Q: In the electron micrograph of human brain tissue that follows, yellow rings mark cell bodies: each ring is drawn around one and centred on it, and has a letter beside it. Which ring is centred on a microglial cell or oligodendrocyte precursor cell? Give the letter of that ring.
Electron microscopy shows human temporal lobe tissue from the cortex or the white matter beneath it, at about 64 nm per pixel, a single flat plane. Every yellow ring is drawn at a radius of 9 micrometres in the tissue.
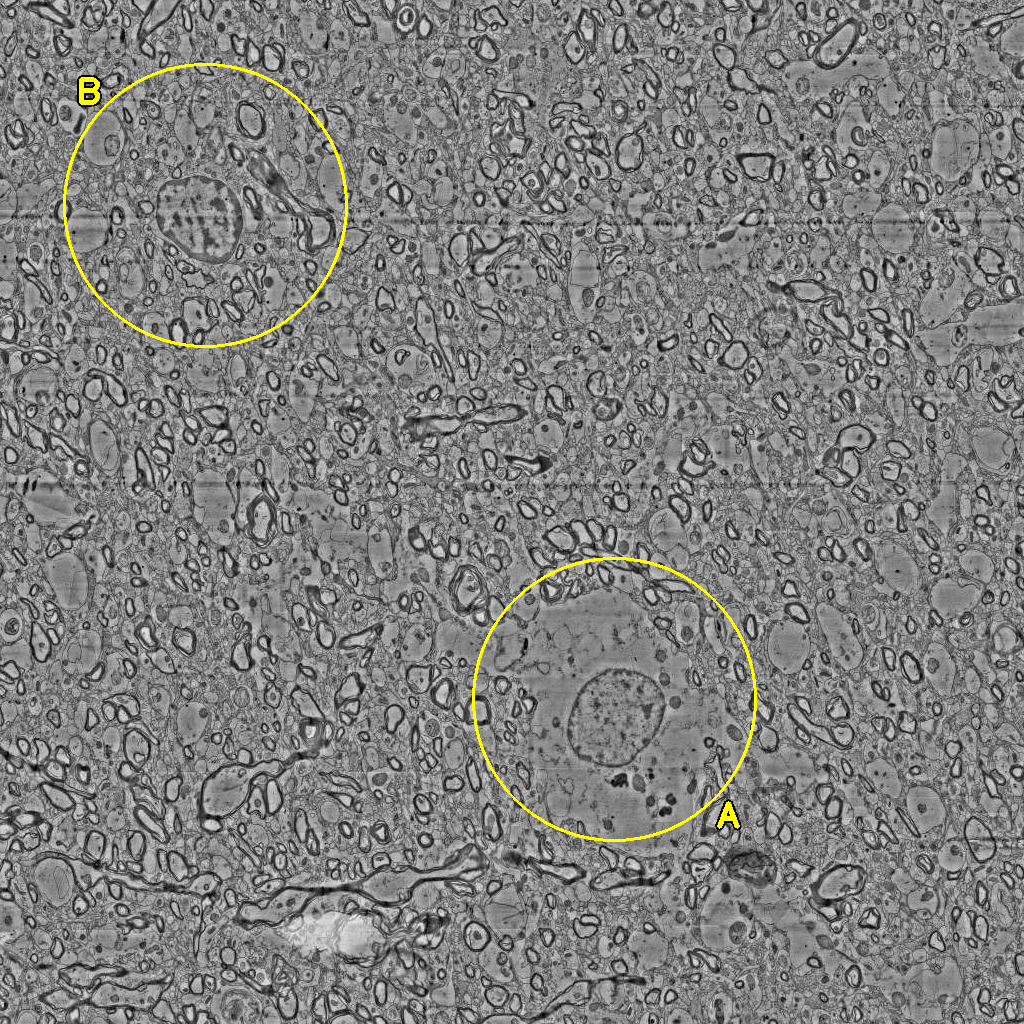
B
